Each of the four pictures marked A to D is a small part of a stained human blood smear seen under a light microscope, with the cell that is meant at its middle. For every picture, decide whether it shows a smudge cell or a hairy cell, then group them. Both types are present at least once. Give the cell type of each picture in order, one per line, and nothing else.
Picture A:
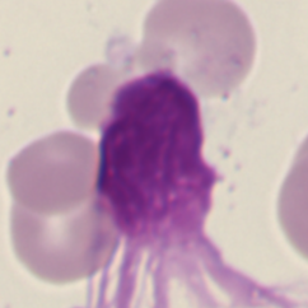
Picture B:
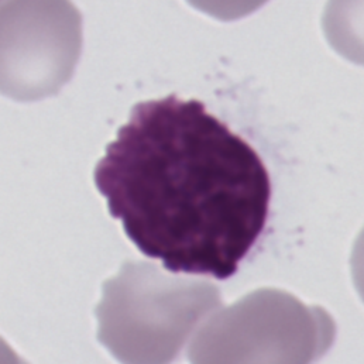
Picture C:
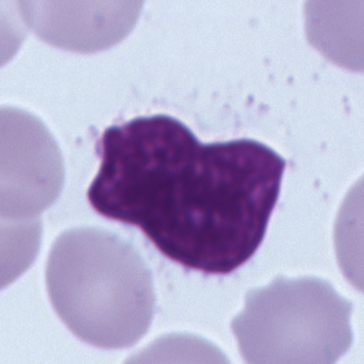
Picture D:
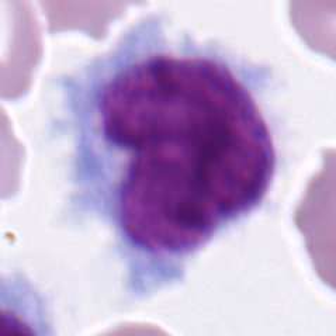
smudge cell
smudge cell
smudge cell
hairy cell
